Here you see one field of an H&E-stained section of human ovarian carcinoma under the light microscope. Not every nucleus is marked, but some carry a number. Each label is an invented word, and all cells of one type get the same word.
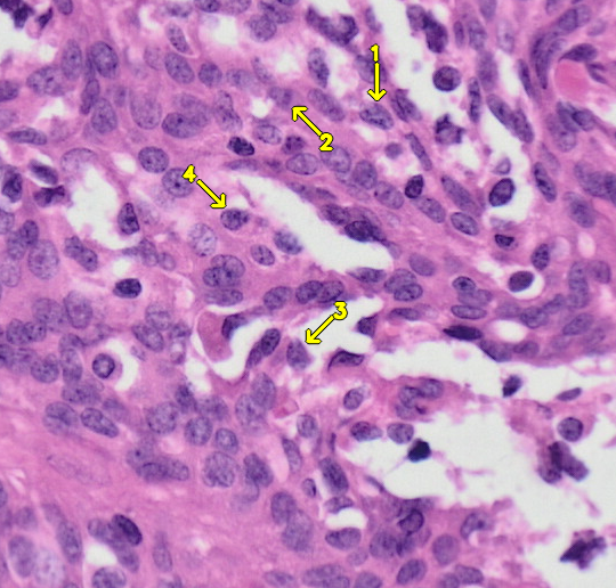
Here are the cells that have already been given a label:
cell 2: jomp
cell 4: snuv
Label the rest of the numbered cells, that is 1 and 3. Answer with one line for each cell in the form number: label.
1: snuv
3: jomp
